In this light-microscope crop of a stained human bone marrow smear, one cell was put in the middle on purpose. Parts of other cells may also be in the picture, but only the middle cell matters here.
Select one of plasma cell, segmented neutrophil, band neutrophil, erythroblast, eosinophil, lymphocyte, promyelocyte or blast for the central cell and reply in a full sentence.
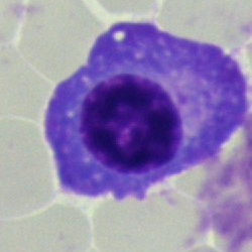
The cell positioned in the middle of the field is a plasma cell.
